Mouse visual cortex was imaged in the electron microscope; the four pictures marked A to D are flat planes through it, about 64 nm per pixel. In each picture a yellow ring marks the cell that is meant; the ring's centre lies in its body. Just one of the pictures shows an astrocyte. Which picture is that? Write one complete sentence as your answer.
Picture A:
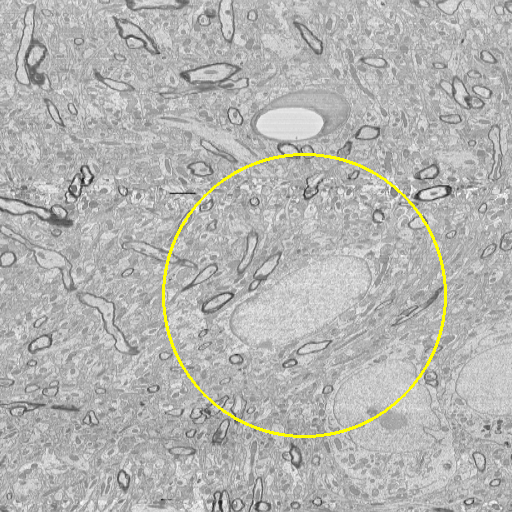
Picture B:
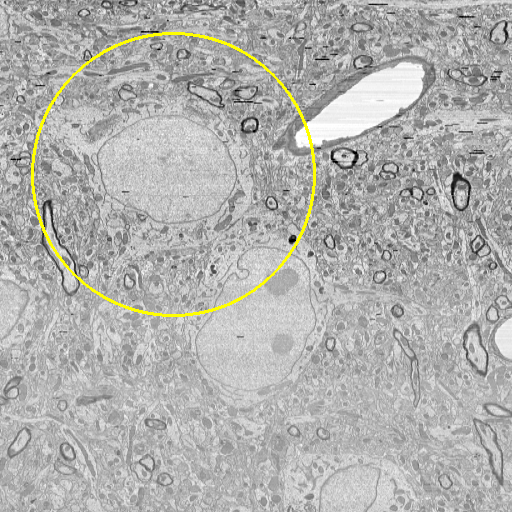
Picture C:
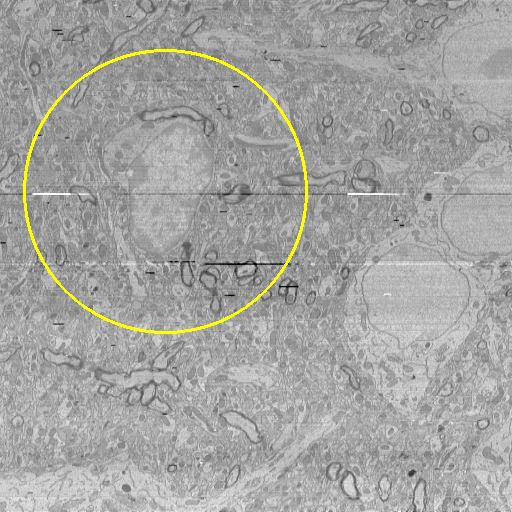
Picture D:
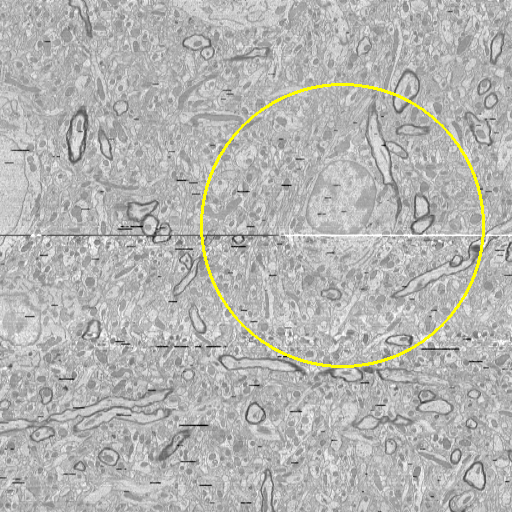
Picture A is the one that shows the astrocyte.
